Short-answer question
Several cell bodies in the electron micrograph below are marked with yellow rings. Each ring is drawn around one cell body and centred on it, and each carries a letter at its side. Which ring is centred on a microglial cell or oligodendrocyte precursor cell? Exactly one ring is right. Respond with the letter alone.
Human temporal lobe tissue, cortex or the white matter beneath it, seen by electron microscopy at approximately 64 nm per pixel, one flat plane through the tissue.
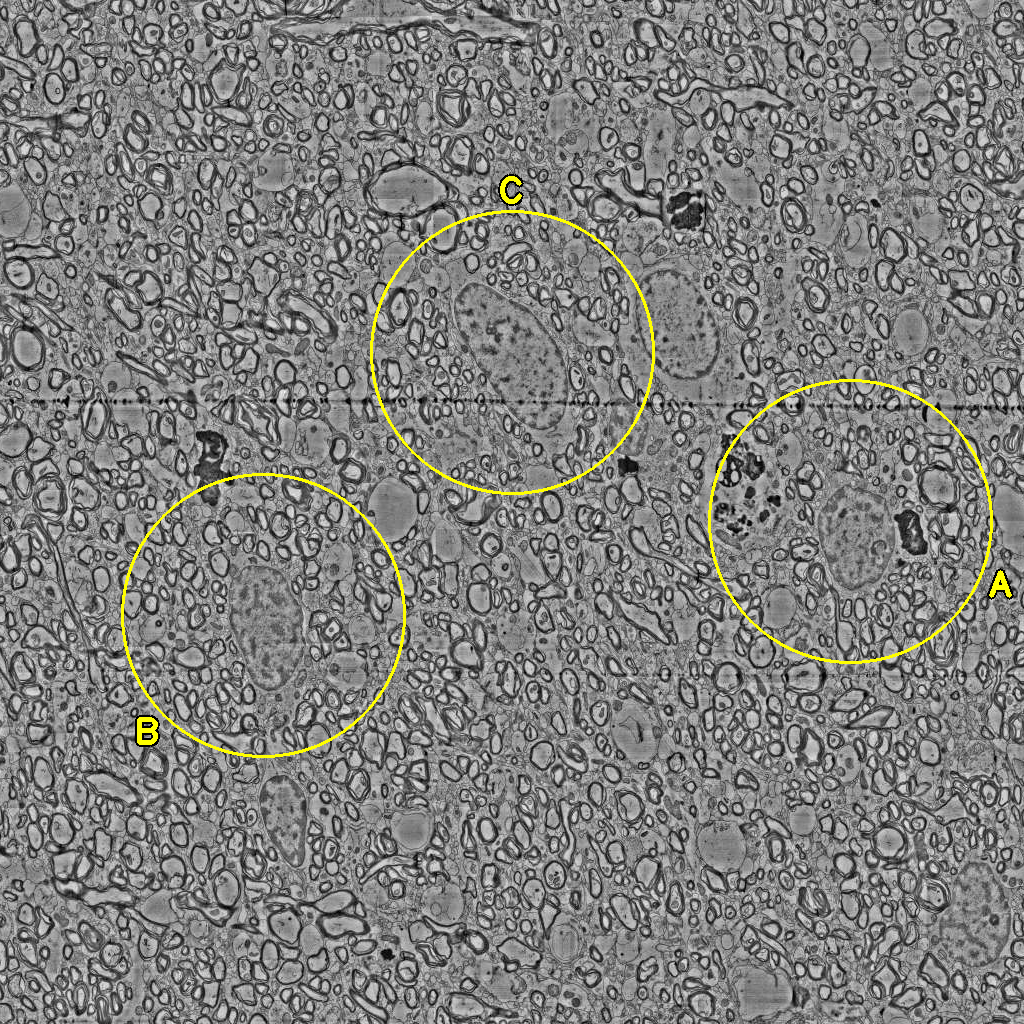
C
